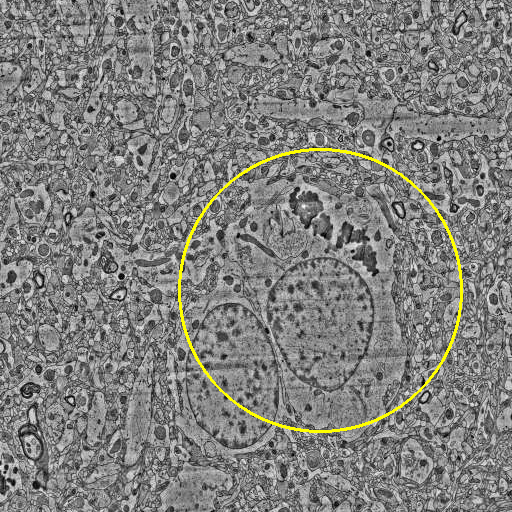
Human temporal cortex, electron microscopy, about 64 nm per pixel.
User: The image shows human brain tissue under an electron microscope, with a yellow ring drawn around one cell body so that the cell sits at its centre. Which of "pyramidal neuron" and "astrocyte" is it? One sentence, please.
At the centre of the ring sits an astrocyte.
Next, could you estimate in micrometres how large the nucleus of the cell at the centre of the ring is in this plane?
In this plane, the nucleus of the cell at the centre of the ring measures about 8 by 7 micrometres.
